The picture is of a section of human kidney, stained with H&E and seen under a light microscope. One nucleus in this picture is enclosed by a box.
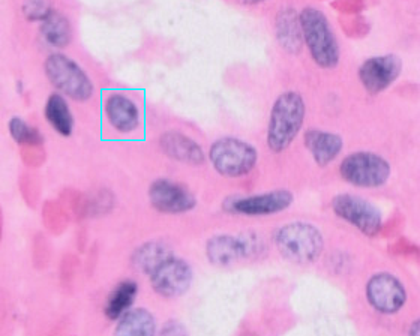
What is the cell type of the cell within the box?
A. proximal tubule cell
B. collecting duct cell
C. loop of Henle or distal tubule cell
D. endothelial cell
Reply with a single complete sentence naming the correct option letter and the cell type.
Option B wins here: the cell within the box is a collecting duct cell.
